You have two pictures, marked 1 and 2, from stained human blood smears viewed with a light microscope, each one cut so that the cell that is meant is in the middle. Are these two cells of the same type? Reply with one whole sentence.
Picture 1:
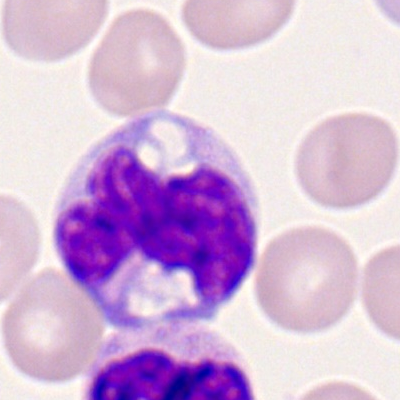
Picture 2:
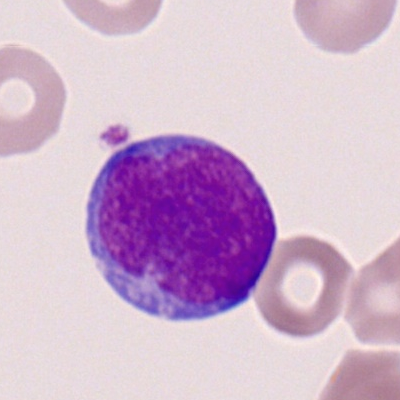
No, picture 1 shows a monocyte and picture 2 shows a myeloblast.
